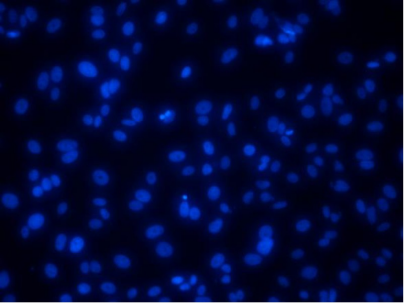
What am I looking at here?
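The nuclei are numerous and spread fairly densely over the whole field as a single layer, with small gaps between them. Most are oval, some round, and they are of fairly similar size. Only a few tiny bright dots lie here and there between them. The cytoplasm and cell borders are not stained and cannot be seen.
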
